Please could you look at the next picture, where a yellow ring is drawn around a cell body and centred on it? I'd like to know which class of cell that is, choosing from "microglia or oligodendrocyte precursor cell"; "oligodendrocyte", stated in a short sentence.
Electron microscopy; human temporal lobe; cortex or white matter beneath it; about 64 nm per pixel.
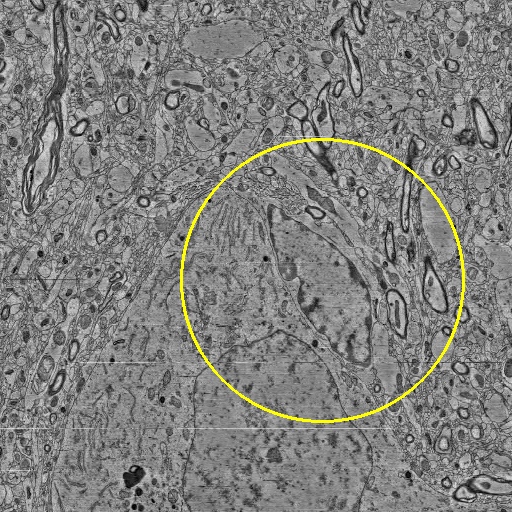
The ring's centre lies on a microglial cell or oligodendrocyte precursor cell.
